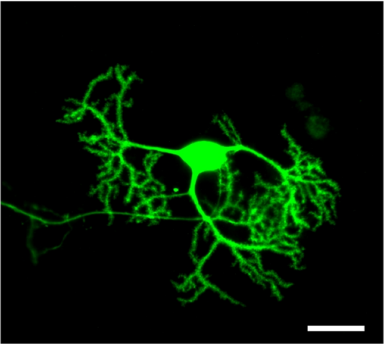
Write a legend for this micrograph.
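This is a single Purkinje cell in a dissociated cerebellar culture, filled with green fluorescence. A large round cell body sends out a few thick primary dendrites that branch repeatedly into an extensive tree studded with fine protrusions. A single thin, smooth process, the axon, runs a long way across the field away from the dendritic tree.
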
